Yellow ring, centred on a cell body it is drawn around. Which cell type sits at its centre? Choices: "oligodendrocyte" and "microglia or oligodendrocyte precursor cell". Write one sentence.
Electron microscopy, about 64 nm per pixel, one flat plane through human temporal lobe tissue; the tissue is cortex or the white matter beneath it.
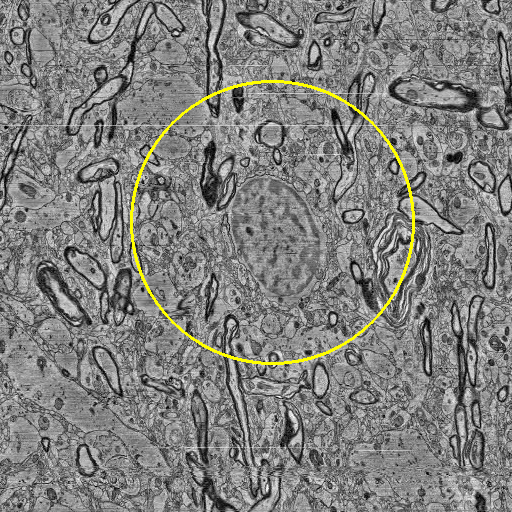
At the centre of the ring sits an oligodendrocyte.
